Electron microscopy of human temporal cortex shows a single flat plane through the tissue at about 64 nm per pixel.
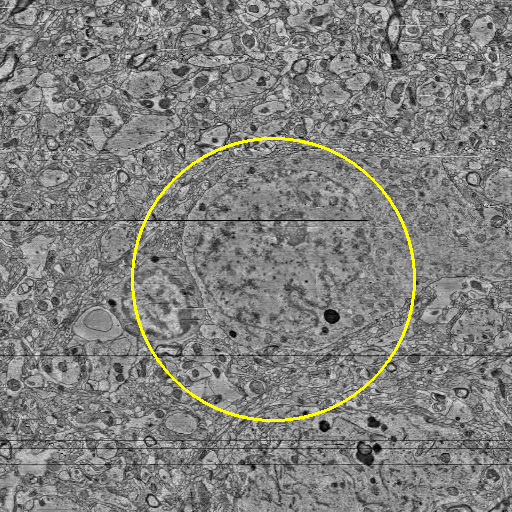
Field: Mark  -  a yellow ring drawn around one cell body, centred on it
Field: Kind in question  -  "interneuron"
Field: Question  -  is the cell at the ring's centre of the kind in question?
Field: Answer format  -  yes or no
yes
